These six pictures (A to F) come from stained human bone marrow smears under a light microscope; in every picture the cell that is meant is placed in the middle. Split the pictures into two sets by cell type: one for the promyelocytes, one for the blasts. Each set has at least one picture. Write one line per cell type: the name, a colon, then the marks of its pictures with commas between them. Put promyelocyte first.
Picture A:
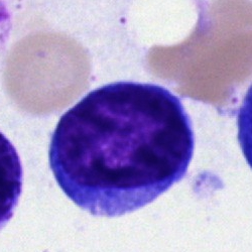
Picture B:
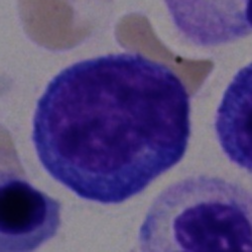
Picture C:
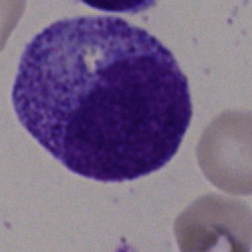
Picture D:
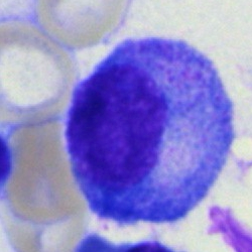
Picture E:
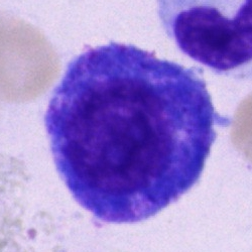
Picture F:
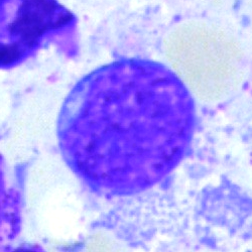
promyelocyte: C, D, E
blast: A, B, F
